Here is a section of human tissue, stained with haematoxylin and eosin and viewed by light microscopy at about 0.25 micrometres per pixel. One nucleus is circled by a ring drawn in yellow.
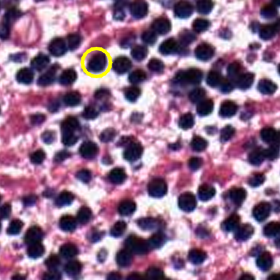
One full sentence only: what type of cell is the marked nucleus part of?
The owner of the marked nucleus is a cerebellar granule cell.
